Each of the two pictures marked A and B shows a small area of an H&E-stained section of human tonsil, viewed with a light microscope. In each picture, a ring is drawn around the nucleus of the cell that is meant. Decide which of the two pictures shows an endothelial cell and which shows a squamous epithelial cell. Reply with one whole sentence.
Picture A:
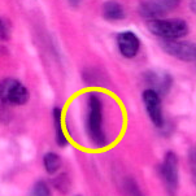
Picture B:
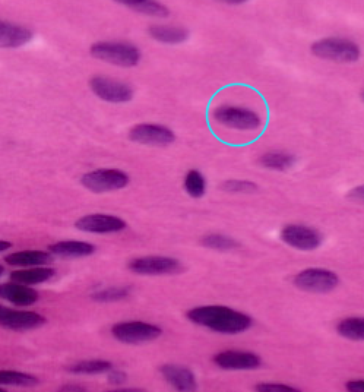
Picture A is of an endothelial cell, and picture B is of a squamous epithelial cell.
